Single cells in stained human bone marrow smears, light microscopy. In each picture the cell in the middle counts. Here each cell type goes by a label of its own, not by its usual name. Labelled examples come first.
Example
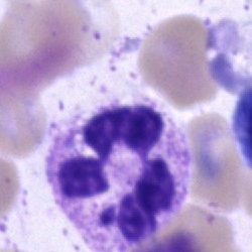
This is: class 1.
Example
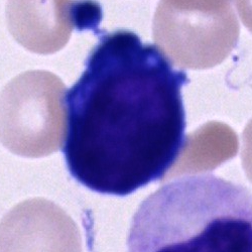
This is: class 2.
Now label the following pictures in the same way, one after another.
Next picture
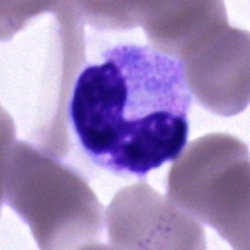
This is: class 1.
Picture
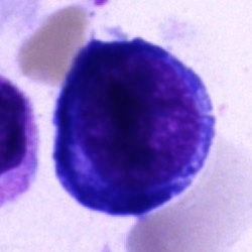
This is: class 2.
